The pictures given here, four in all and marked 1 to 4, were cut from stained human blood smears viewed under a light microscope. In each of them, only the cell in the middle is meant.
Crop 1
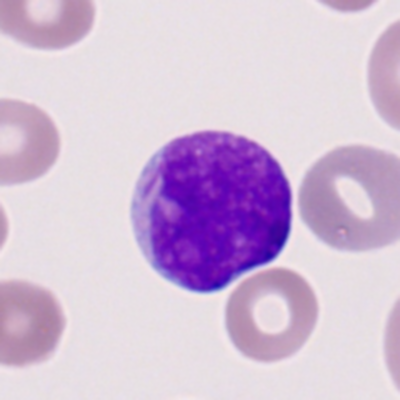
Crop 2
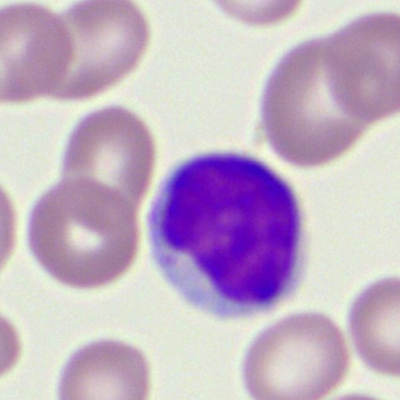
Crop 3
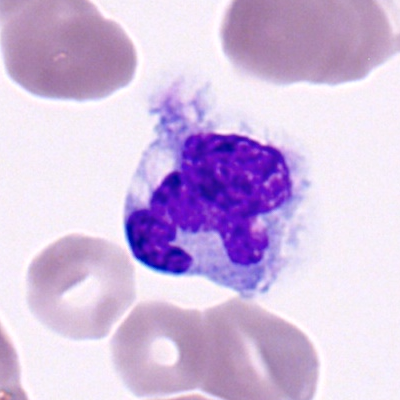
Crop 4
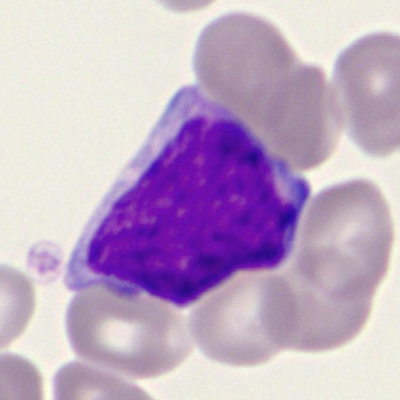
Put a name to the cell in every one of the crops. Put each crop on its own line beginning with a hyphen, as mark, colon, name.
- 1: myeloblast
- 2: lymphocyte
- 3: monocyte
- 4: myeloblast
